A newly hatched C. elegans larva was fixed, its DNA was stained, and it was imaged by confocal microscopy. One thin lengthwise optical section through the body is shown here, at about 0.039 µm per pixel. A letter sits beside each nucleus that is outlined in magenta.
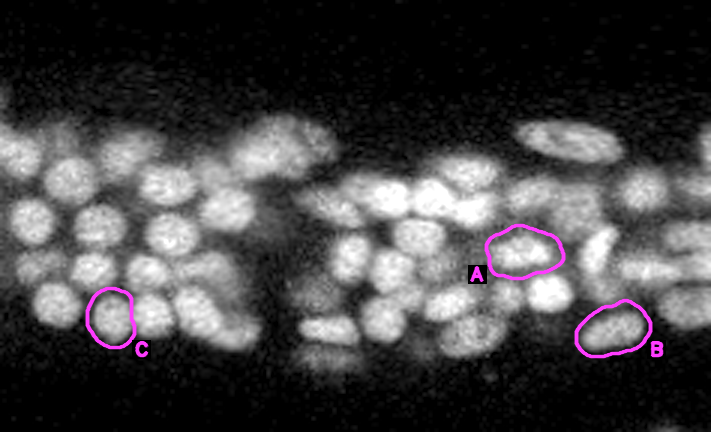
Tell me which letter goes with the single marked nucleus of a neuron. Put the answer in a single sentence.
C is the nucleus of a neuron.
